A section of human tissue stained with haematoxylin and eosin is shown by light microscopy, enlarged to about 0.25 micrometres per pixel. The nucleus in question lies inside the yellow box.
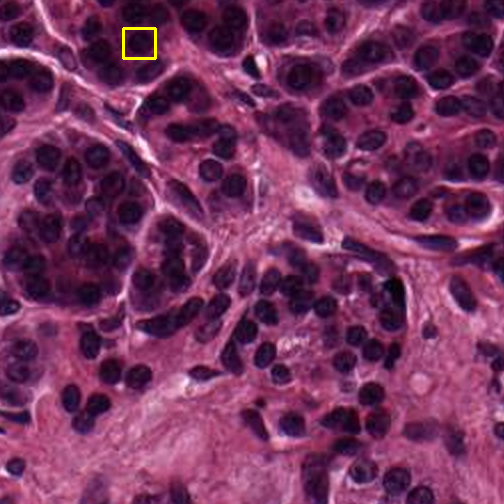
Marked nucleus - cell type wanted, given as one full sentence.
The marked nucleus is that of a pancreatic acinar cell.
